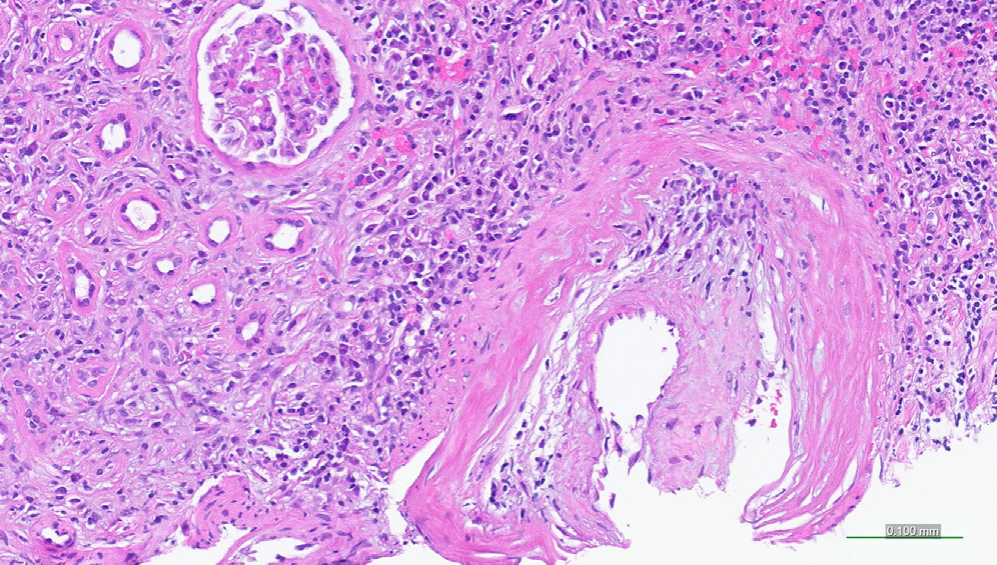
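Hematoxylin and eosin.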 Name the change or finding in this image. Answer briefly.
Thickened arterial intima.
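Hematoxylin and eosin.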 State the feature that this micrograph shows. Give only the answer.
artery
